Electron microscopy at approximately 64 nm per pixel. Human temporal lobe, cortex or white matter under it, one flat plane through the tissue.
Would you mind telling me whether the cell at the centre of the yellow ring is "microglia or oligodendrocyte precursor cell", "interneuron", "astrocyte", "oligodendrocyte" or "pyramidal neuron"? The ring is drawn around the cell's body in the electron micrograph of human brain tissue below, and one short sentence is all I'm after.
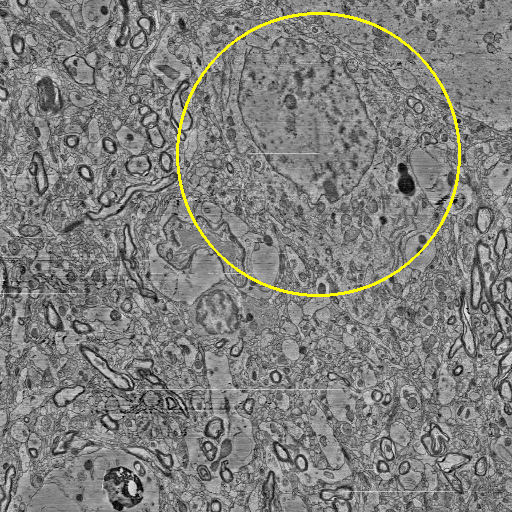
In the centre of the ring lies an interneuron.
